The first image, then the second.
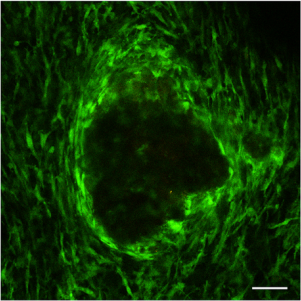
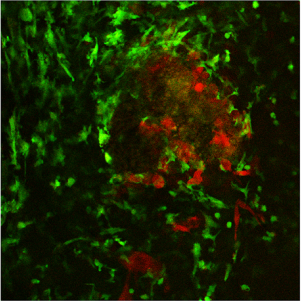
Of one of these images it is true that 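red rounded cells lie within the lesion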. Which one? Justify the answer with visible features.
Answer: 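First image: the dark central area holds no distinct red cells. Second image: many bright red rounded cells lie within the central area, surrounded by green cells.
Answer: the second image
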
